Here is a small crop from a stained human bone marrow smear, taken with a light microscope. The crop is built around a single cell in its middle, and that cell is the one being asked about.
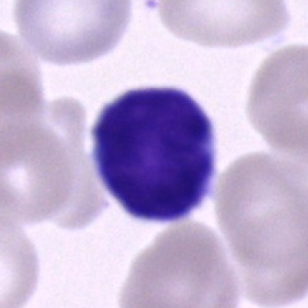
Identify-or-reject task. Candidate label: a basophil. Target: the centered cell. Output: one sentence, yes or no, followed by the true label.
No, what the centre of the crop shows is a lymphocyte, not a basophil.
